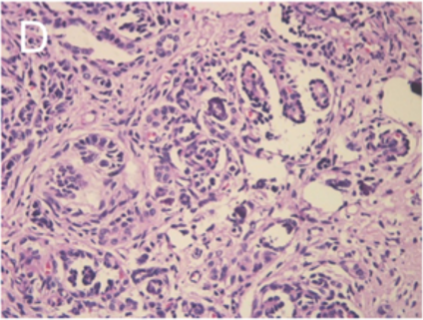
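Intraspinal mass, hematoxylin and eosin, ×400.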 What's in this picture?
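Here the nephrogenic tissue has formed epithelial structures like those of a developing kidney: small tubules and glomeruli set in loose pink stroma. The glomeruli are rounded tufts of cells in a clear space, ringed by a thin layer of flattened cells. The tubules are lined by a single layer of cuboidal cells with dark nuclei around small open lumens.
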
